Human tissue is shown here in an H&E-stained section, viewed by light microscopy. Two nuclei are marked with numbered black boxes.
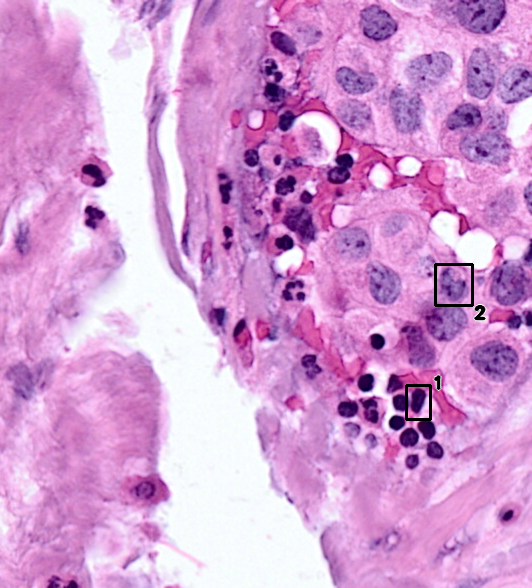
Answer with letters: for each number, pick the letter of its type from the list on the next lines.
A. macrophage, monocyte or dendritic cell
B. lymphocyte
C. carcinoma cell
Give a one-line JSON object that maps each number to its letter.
{"1": "B", "2": "C"}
